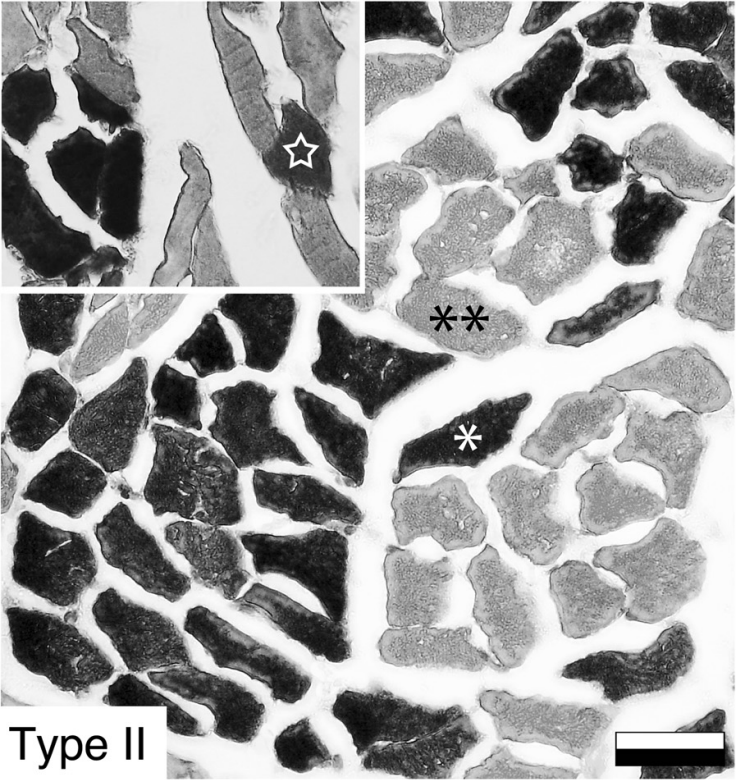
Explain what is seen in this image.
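A cross-section of skeletal muscle shows polygonal muscle fibers separated by thin pale spaces, some stained almost black and others a pale grey with a fine speckled texture. The dark fibers crowd together on one side and the pale fibers on the other, so fibers of like staining form patches rather than a mosaic. A small inset shows fibers cut lengthwise, one of them marked by a star with intermediate grey staining.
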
